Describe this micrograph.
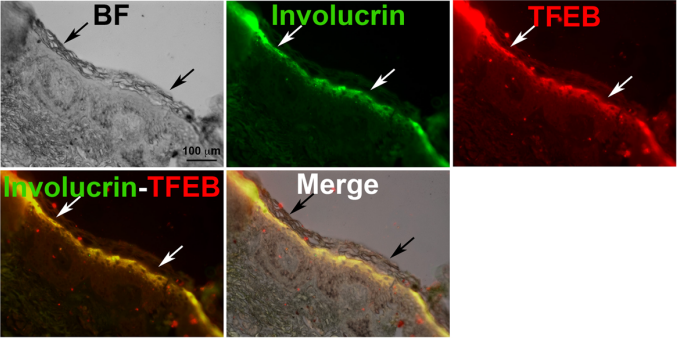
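In the fluorescence images a narrow continuous green band runs along the upper epidermis just beneath the surface, and a red band follows the same course, with some scattered red dots in the tissue below. Where both are overlaid the band appears yellow, showing that the two colours occupy the same uppermost layer of living cells beneath the cornified surface.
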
